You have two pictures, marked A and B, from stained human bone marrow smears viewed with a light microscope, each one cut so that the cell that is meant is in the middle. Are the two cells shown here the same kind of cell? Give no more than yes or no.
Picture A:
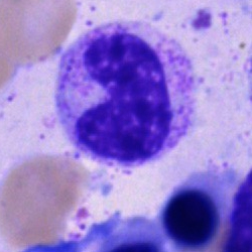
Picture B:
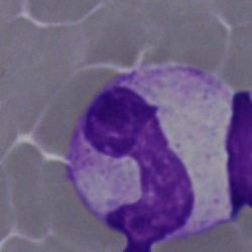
no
